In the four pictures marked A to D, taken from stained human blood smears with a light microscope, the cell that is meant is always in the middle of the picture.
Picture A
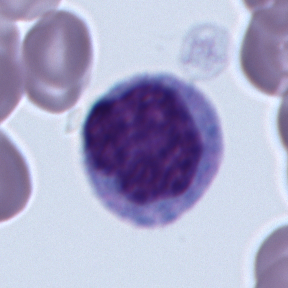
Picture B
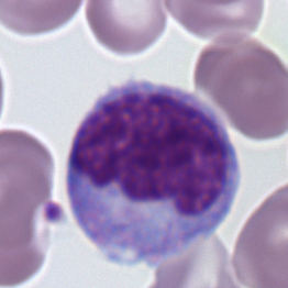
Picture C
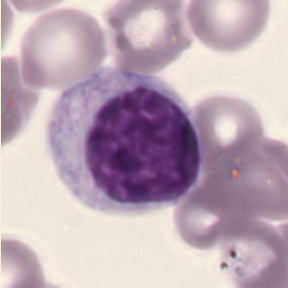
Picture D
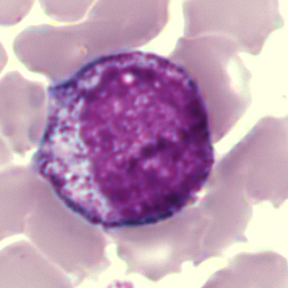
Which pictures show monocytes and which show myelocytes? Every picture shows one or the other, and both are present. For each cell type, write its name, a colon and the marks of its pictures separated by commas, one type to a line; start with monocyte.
monocyte: A, B
myelocyte: C, D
